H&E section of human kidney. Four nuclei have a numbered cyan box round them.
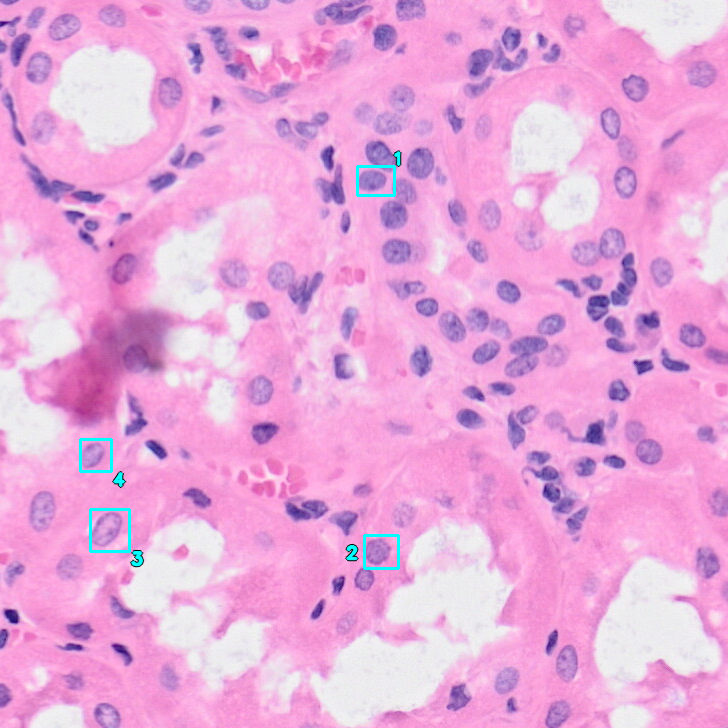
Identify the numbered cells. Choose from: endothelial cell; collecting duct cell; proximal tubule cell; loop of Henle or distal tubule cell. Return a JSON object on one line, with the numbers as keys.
{"1": "collecting duct cell", "2": "proximal tubule cell", "3": "proximal tubule cell", "4": "proximal tubule cell"}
